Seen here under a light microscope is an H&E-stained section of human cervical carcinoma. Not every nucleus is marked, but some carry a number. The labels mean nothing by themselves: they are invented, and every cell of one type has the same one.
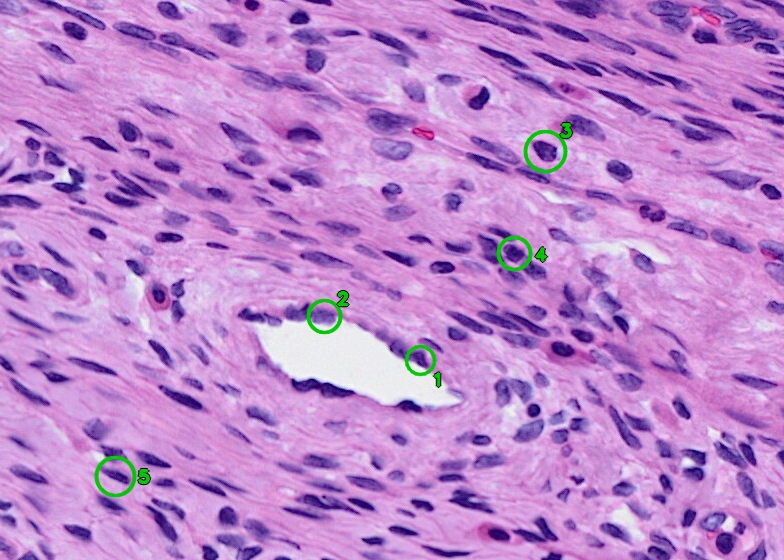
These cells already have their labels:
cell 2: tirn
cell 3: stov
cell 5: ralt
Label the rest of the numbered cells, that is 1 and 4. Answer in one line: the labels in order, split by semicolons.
tirn; stov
